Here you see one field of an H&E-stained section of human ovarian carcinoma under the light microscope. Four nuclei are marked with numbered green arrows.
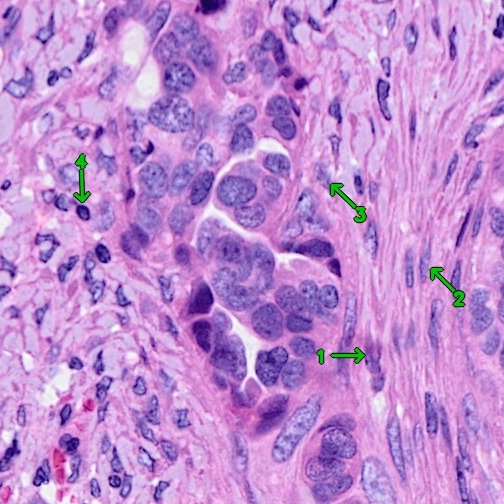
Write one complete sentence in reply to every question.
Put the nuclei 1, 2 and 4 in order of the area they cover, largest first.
By area, largest first, they run 1, 2, 4.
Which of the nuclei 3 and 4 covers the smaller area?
Nucleus 4 covers less area, with nucleus 3 about 1.5 times as large.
